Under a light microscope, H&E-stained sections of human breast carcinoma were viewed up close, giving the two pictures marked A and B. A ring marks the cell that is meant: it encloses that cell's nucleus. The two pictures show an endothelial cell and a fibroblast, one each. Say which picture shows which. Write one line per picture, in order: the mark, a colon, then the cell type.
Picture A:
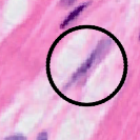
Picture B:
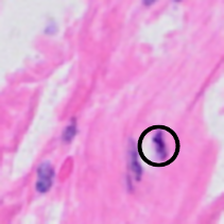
A: fibroblast
B: endothelial cell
